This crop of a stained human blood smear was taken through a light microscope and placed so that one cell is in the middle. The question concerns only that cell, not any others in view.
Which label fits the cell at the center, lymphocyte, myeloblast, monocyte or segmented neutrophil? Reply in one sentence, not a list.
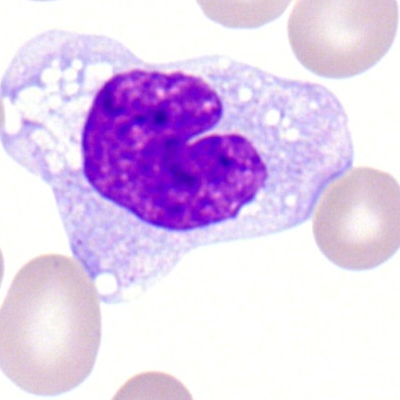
The centered cell in this crop is a monocyte.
